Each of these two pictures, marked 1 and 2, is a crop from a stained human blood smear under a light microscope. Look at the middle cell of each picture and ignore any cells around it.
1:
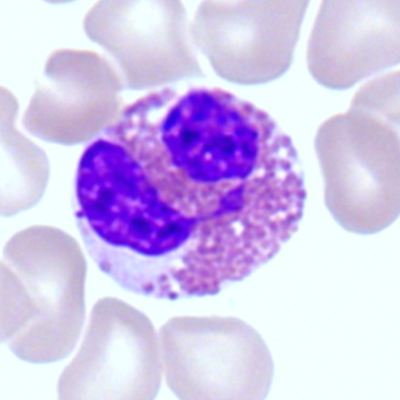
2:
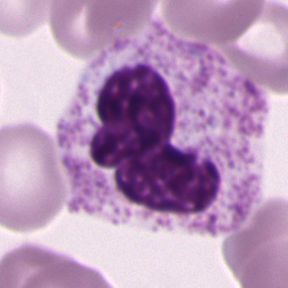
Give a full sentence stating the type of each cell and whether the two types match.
No, crop 1 is home to an eosinophil, and crop 2 to a segmented neutrophil.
